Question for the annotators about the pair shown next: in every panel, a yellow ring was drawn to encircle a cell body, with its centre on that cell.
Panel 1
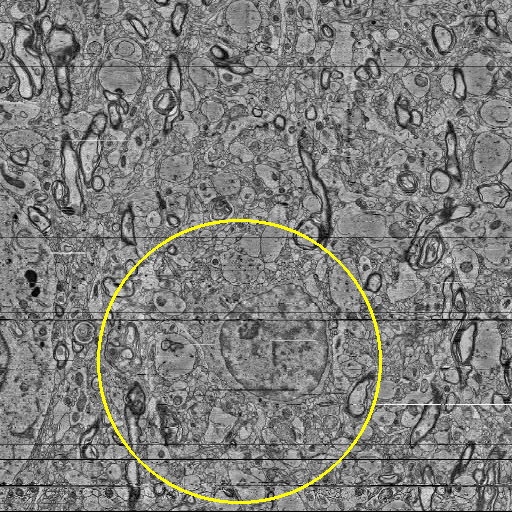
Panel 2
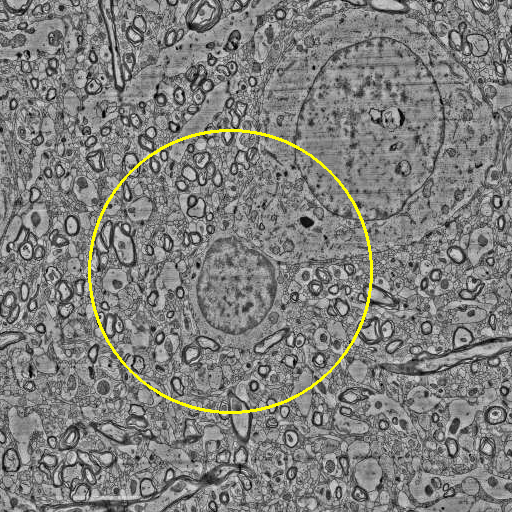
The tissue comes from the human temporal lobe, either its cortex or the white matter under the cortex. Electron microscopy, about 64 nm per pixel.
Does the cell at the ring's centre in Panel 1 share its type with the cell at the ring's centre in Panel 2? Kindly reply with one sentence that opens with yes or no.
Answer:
Yes, in Panels 1 and 2 the cells at the ring centres belong to a single type.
